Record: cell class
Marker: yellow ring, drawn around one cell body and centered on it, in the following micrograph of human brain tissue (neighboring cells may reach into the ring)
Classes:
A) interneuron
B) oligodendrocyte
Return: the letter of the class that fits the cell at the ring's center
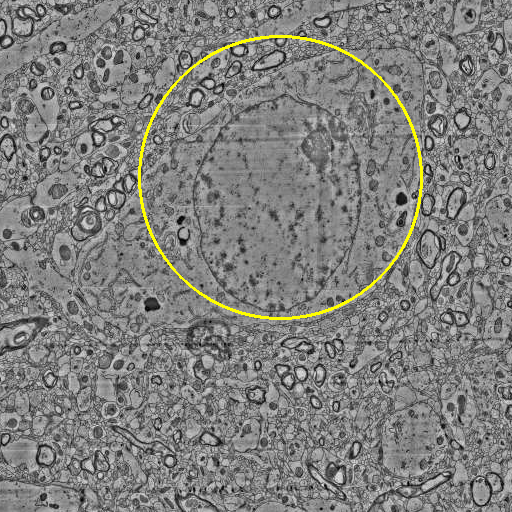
A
